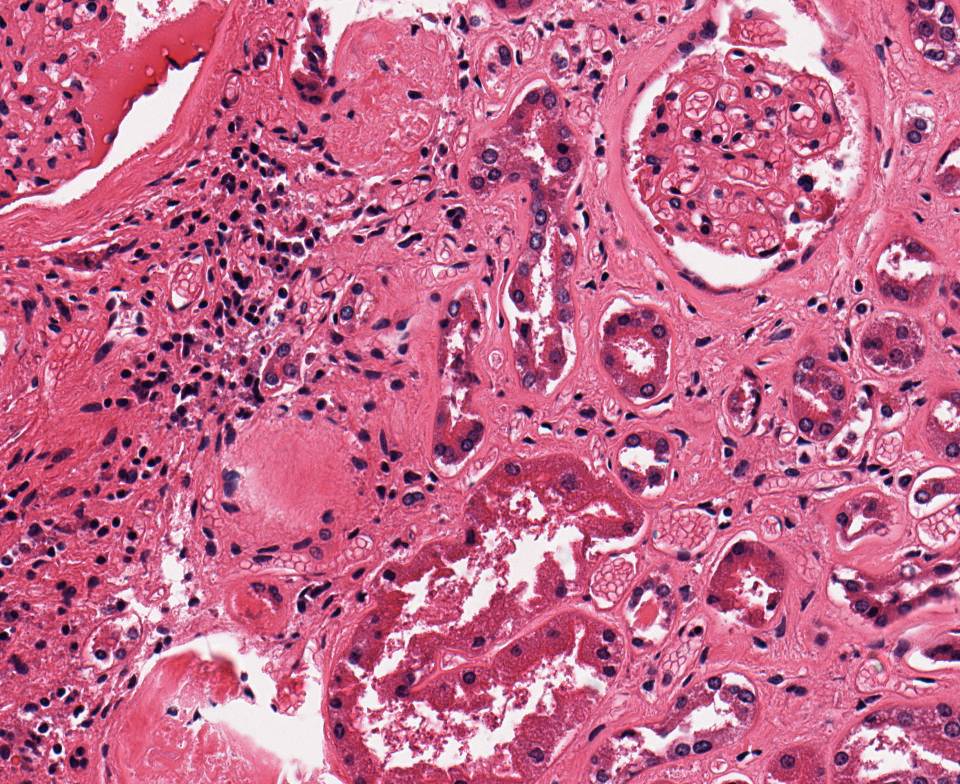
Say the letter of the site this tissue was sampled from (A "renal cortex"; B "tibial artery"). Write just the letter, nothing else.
A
